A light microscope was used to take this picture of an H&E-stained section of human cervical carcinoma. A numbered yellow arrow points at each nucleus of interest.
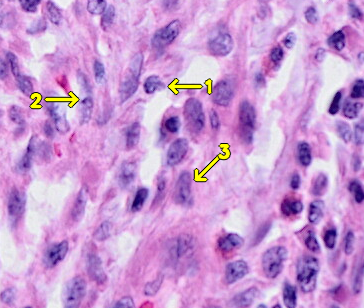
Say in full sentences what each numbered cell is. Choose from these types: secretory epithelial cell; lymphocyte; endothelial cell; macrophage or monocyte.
Cell 1 is a lymphocyte, cell 2 is an endothelial cell and cell 3 is a macrophage or monocyte.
